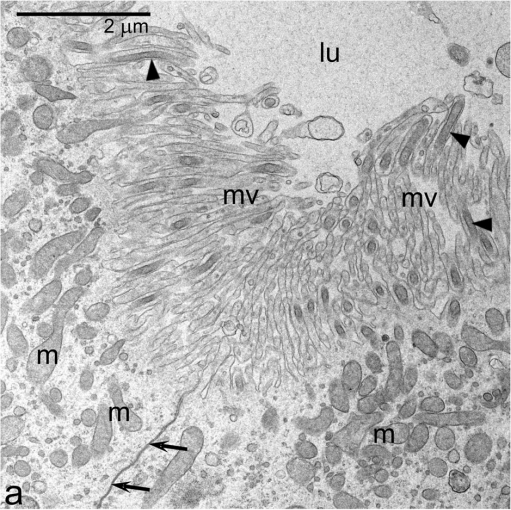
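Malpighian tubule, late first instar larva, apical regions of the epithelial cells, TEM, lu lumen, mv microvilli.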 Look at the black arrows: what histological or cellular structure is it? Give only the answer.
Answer: Intercellular junctions.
